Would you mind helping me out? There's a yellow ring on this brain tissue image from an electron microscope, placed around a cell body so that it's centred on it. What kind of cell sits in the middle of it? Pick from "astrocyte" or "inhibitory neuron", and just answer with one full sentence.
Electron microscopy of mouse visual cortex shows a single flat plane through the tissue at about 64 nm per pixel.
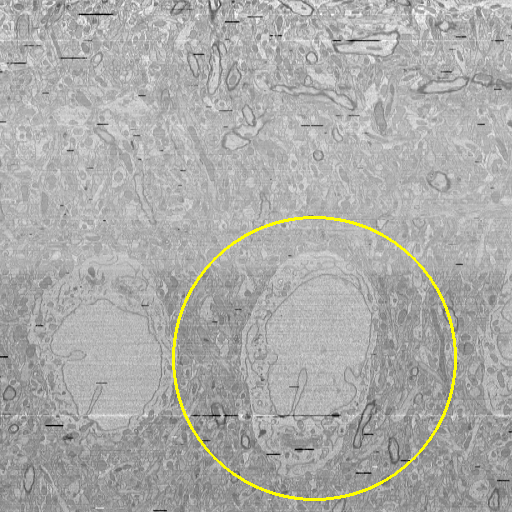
What sits in the middle of that yellow ring is an inhibitory neuron, from your choices.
